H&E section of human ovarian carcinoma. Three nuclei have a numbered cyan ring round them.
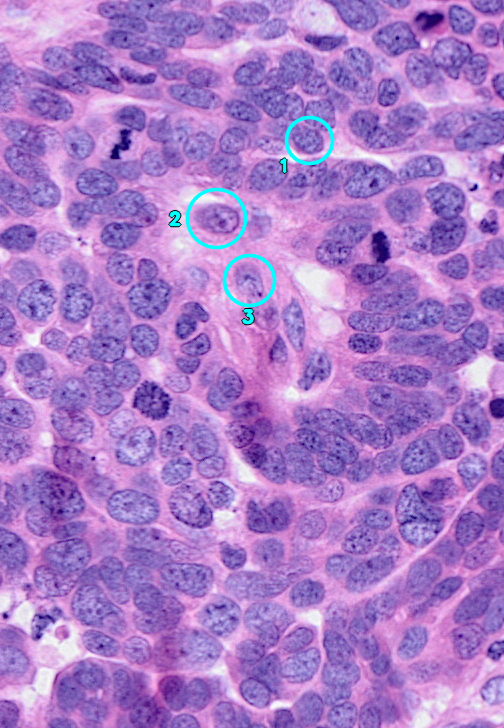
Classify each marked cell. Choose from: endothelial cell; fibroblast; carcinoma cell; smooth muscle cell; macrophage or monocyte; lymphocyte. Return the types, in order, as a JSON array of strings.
["carcinoma cell", "fibroblast", "fibroblast"]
